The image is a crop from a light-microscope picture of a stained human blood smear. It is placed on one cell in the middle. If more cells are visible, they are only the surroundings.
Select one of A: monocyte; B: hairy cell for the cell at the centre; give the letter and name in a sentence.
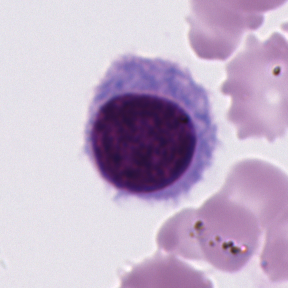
The central cell of the crop is a hairy cell, which makes B the correct option.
